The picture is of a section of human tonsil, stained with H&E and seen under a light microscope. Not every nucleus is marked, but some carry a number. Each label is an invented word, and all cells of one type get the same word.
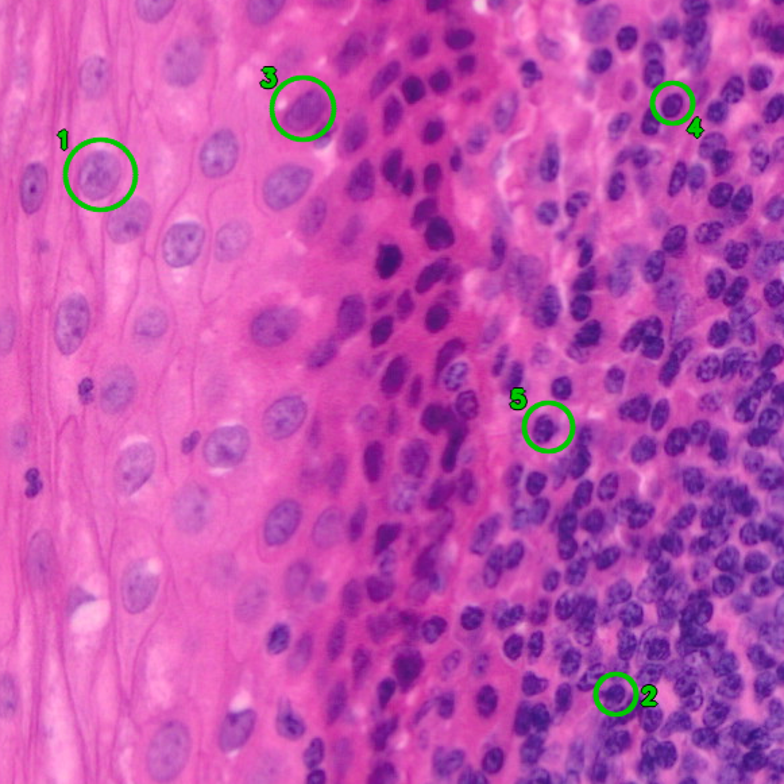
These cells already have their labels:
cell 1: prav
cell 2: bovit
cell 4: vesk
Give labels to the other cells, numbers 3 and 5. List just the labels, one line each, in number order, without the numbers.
prav
vesk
